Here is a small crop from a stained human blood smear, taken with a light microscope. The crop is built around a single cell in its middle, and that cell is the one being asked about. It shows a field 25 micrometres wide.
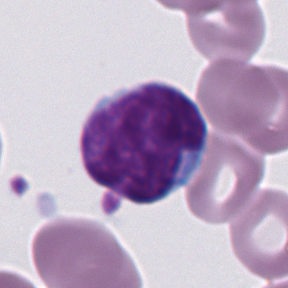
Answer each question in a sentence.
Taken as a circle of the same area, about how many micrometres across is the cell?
The cell is about 11 micrometres across.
